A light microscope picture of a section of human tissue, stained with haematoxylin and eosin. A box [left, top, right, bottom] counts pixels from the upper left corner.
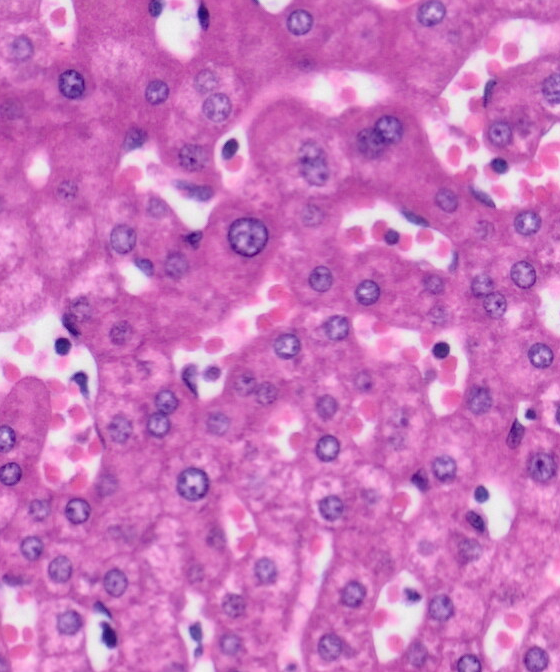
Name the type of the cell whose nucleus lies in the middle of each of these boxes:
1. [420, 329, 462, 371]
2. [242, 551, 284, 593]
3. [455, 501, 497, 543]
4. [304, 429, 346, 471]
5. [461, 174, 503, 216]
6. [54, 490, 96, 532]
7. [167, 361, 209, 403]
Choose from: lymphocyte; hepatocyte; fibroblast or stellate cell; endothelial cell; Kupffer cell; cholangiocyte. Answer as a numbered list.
1. lymphocyte
2. hepatocyte
3. Kupffer cell
4. hepatocyte
5. endothelial cell
6. hepatocyte
7. Kupffer cell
